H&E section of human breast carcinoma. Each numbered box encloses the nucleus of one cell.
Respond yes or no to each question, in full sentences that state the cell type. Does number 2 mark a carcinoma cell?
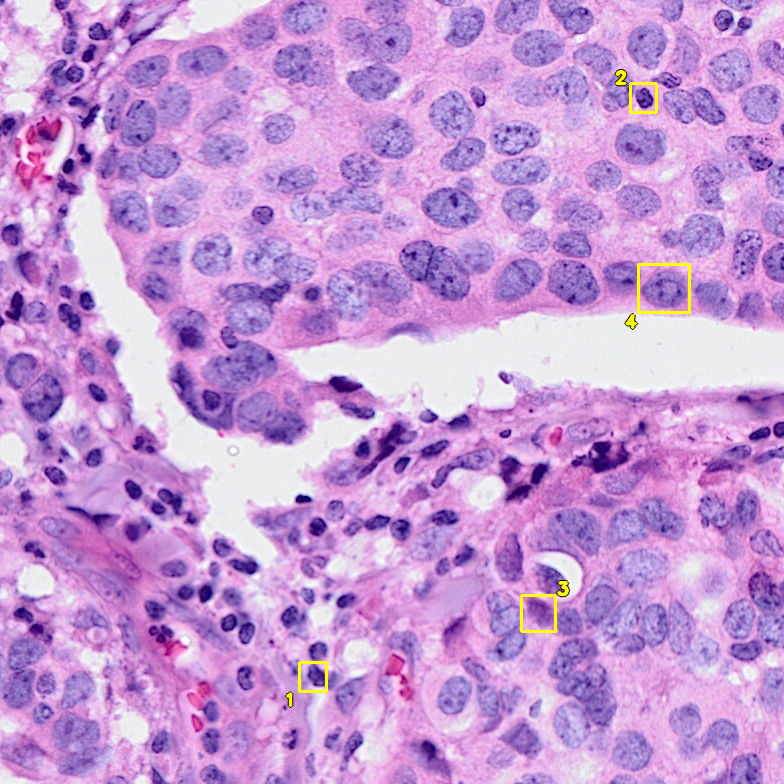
No, the cell under number 2 is a lymphocyte instead of a carcinoma cell.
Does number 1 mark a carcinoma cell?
No, the cell referred to as 1 is a lymphocyte, not a carcinoma cell.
